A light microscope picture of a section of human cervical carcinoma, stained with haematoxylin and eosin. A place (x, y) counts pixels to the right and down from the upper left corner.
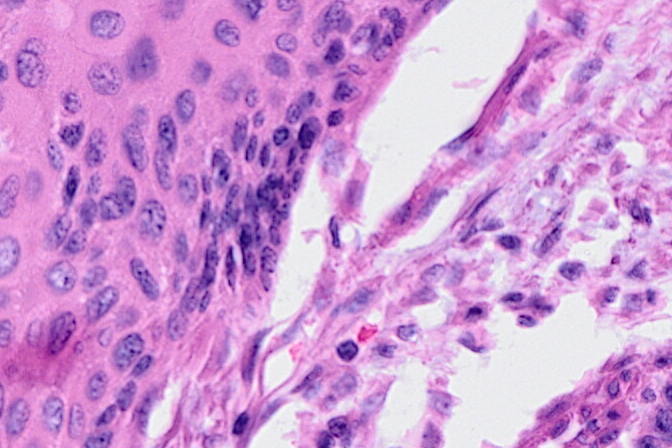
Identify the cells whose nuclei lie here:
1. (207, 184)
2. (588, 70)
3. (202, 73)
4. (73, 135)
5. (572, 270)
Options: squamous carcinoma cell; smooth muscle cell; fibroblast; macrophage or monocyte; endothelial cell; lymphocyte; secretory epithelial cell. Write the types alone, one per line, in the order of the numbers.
squamous carcinoma cell
fibroblast
squamous carcinoma cell
squamous carcinoma cell
macrophage or monocyte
